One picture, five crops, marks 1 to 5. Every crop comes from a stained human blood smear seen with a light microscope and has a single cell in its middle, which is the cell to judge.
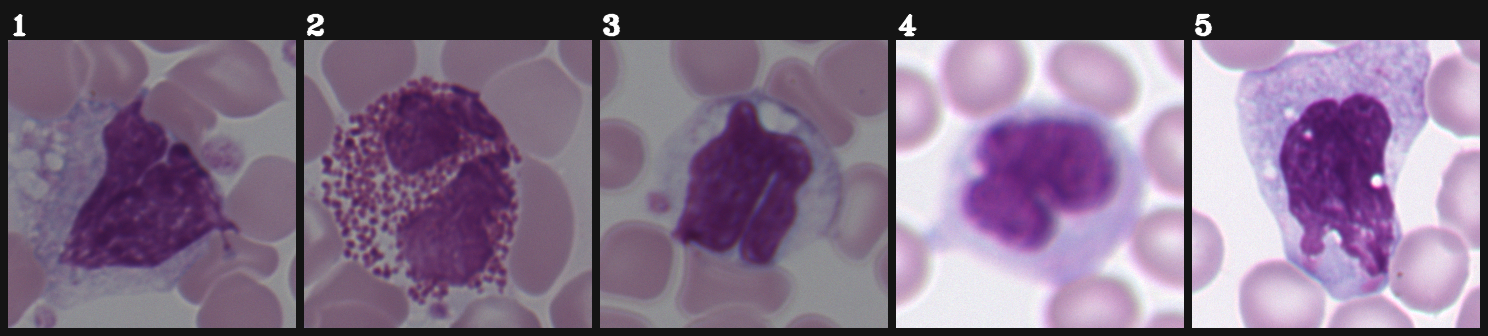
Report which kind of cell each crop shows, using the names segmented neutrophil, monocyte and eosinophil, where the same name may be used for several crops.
1: monocyte
2: eosinophil
3: monocyte
4: monocyte
5: monocyte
